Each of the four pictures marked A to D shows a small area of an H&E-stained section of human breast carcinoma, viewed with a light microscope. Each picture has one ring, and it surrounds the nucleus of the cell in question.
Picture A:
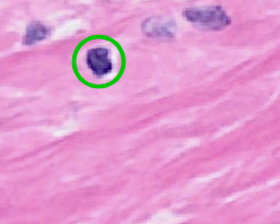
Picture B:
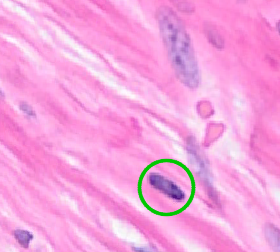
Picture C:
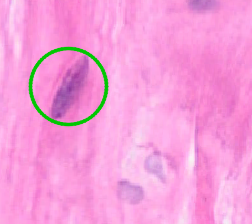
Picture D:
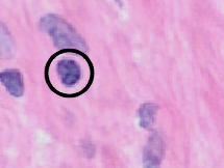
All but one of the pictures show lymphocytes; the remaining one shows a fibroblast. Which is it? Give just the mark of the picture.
C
